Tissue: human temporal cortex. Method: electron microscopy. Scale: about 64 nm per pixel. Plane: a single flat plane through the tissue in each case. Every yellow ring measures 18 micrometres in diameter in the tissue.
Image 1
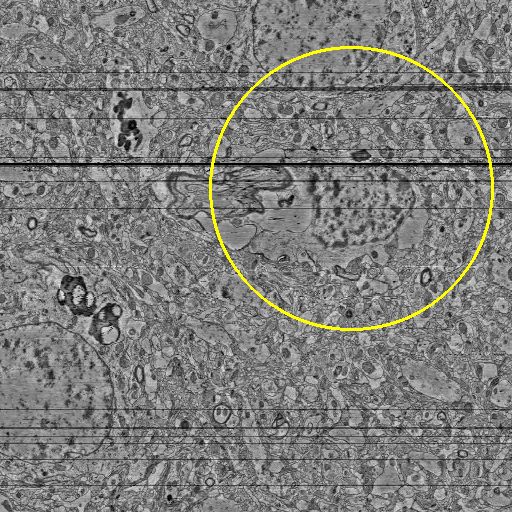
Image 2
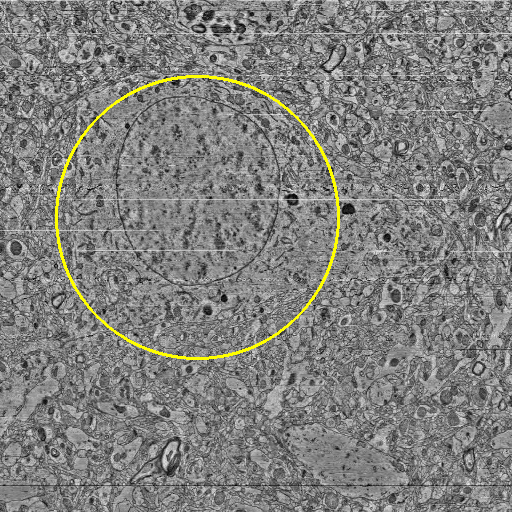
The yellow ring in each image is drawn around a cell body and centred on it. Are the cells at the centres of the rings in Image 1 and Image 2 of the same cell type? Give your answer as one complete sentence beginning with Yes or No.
No, the two cells are of two separate types.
